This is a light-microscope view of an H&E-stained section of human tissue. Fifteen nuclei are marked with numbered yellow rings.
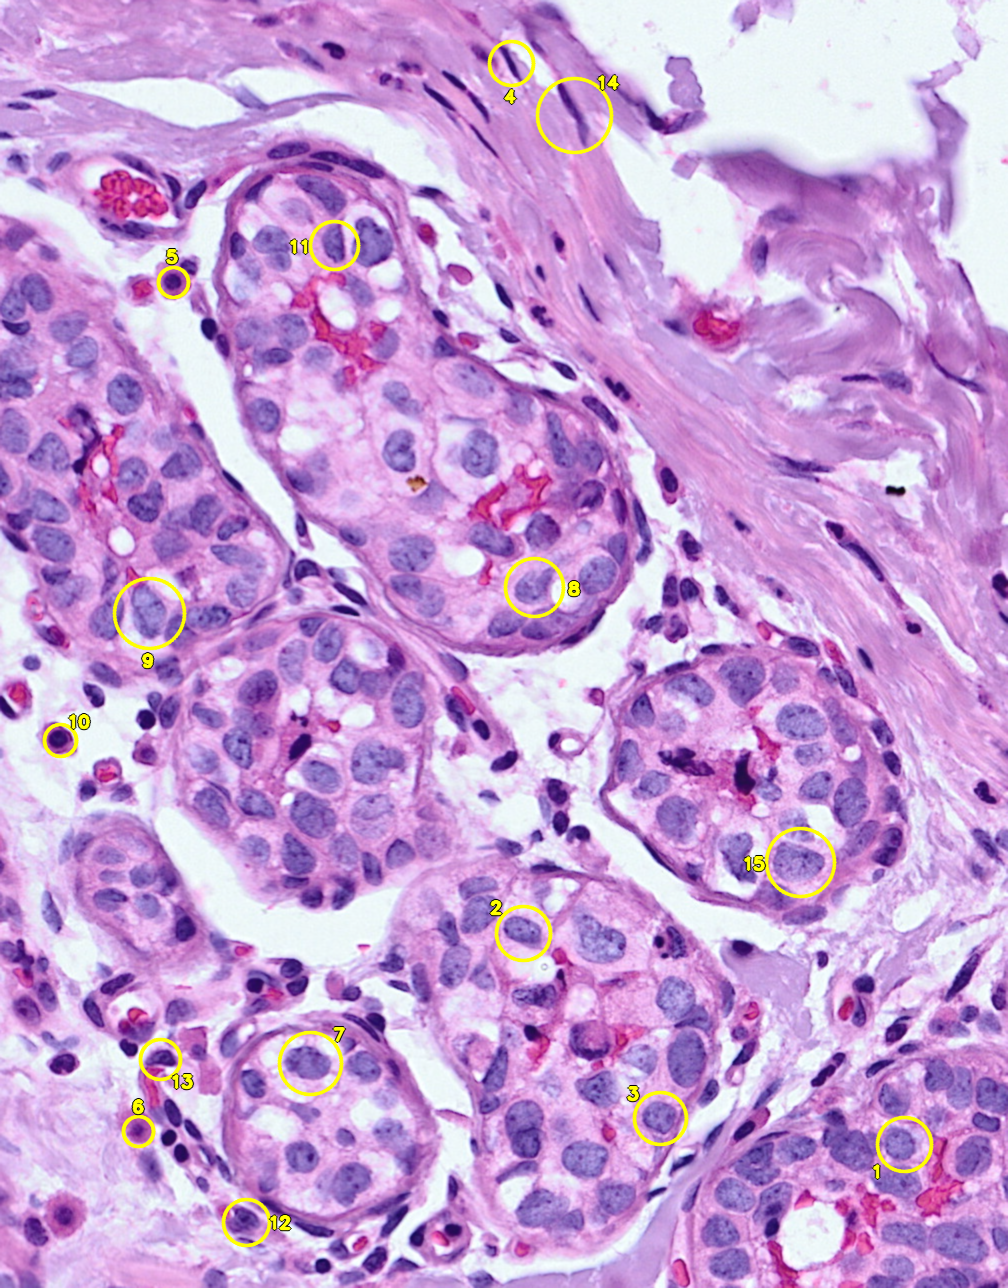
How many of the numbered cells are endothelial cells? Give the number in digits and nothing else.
2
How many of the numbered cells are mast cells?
3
